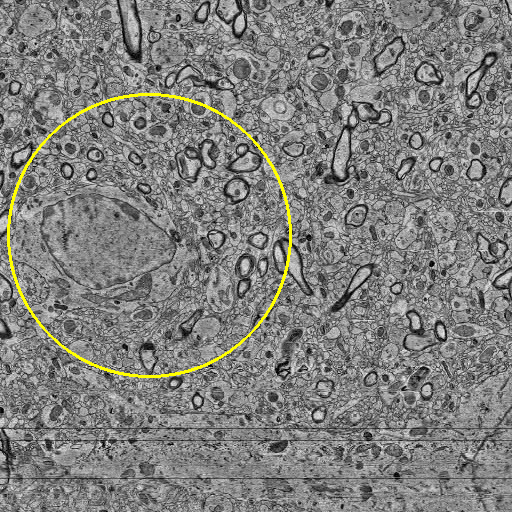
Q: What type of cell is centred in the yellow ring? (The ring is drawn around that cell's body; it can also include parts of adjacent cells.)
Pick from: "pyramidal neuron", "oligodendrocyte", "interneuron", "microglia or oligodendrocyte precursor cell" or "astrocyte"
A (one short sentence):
The yellow ring is centred on a microglial cell or oligodendrocyte precursor cell.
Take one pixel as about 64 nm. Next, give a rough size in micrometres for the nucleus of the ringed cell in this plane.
Roughly 9 by 6 micrometres in this plane, for the nucleus of the ringed cell.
